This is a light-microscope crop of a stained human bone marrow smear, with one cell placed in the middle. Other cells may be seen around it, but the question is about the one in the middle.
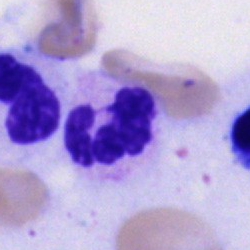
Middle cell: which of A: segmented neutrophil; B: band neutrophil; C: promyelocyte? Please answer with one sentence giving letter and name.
Option A is correct; the cell in the middle is a segmented neutrophil.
